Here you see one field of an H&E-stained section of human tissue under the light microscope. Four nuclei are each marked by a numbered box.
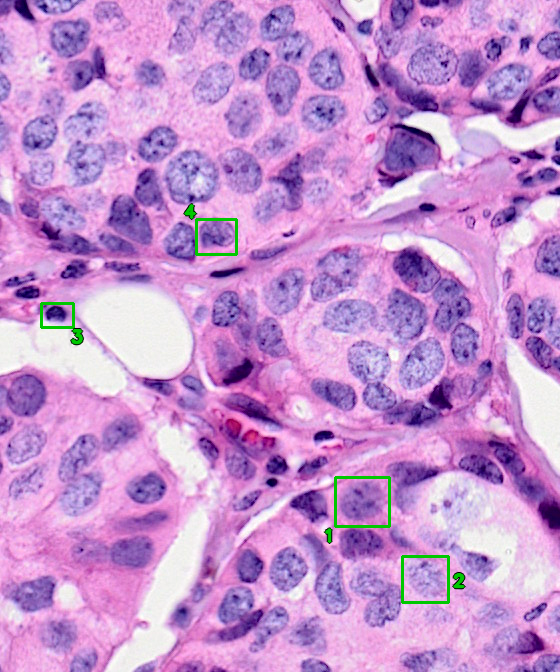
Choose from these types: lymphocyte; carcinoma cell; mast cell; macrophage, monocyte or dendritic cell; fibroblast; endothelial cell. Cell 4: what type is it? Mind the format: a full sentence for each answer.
The numbered cell 4 in this field is a carcinoma cell.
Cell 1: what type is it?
The cell given label 1 is a carcinoma cell.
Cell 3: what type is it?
The cell assigned the number 3 is a lymphocyte.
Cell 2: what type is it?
The cell that goes by number 2 is a carcinoma cell.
